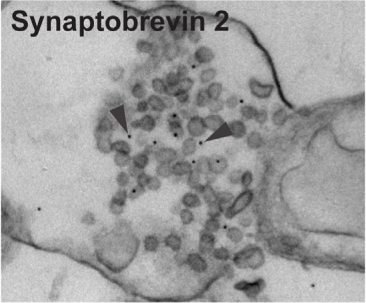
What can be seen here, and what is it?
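Transmission electron micrograph of a nerve terminal densely packed with small round synaptic vesicles of fairly even size. Black gold particles are scattered over the vesicle cluster, and the terminal is enclosed by a dark plasma membrane beside larger pale membrane-bounded profiles.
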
